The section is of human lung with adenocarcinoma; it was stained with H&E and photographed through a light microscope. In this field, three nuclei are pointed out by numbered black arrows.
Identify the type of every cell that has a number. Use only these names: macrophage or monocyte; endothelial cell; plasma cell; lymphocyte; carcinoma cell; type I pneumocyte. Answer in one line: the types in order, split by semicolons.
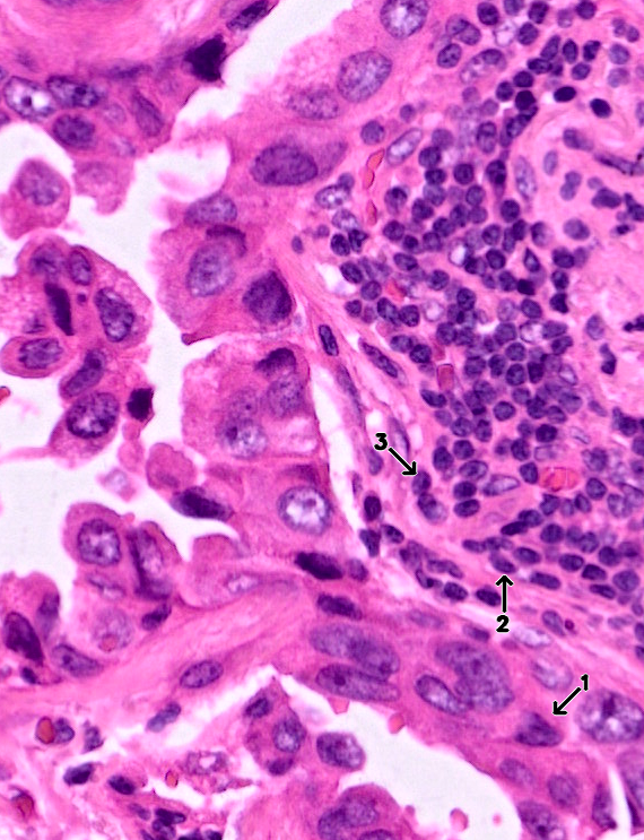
carcinoma cell; lymphocyte; lymphocyte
